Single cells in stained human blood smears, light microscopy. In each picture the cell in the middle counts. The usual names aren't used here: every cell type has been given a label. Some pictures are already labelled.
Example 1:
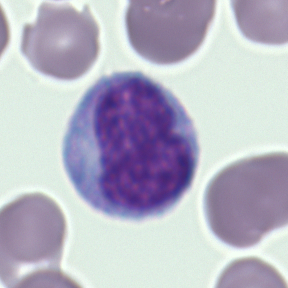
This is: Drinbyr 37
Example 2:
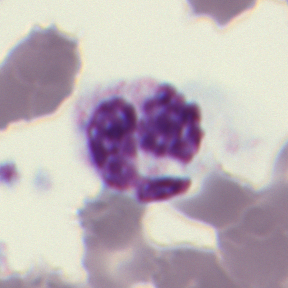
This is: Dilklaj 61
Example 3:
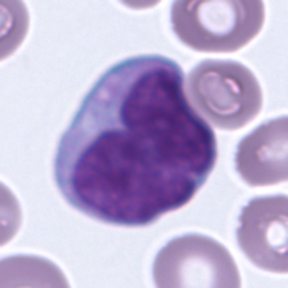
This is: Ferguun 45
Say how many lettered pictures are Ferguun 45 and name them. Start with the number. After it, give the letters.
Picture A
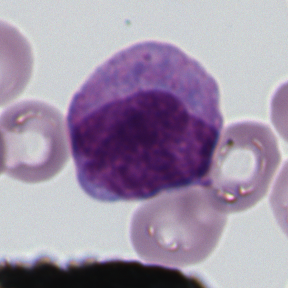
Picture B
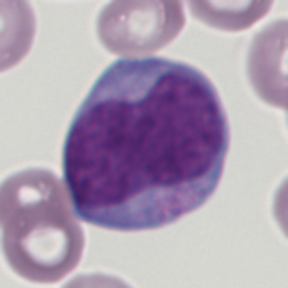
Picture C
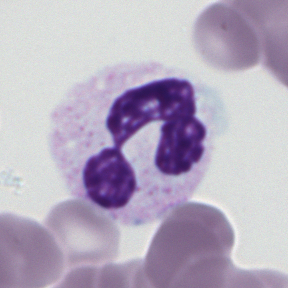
2, namely A, B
